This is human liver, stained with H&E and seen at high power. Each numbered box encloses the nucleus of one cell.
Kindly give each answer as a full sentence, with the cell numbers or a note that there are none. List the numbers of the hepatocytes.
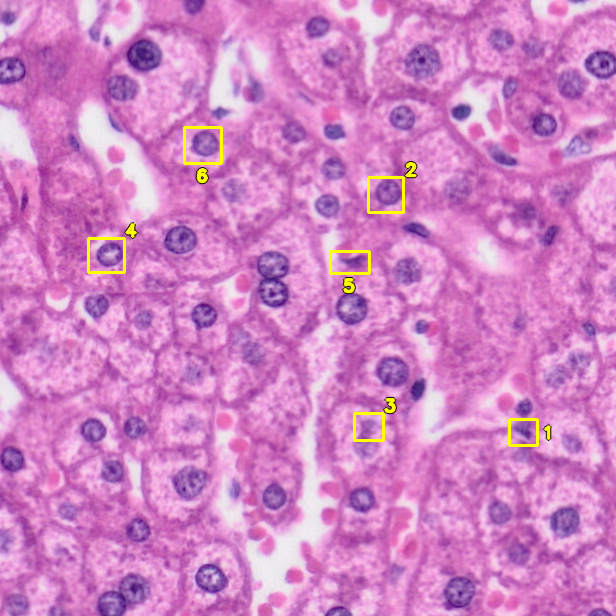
The cells tagged 2, 3, 4 and 6 are hepatocytes in this tissue section.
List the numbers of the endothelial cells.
Of the cells carrying numbers, just cell 5 is an endothelial cell.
